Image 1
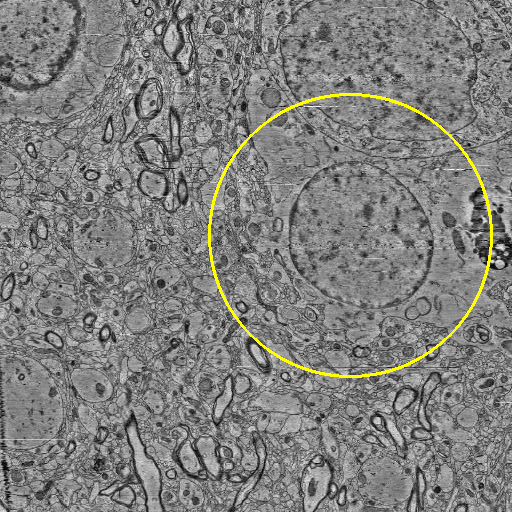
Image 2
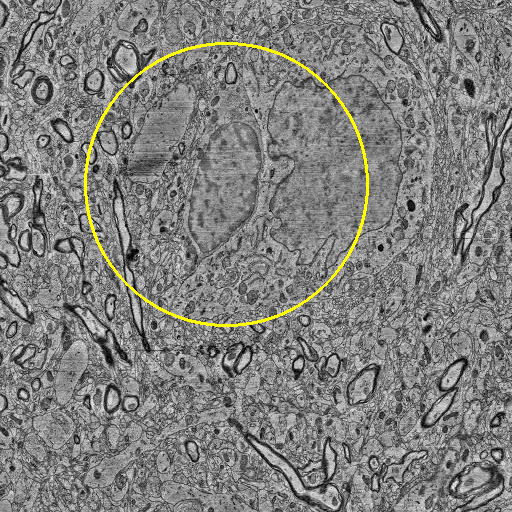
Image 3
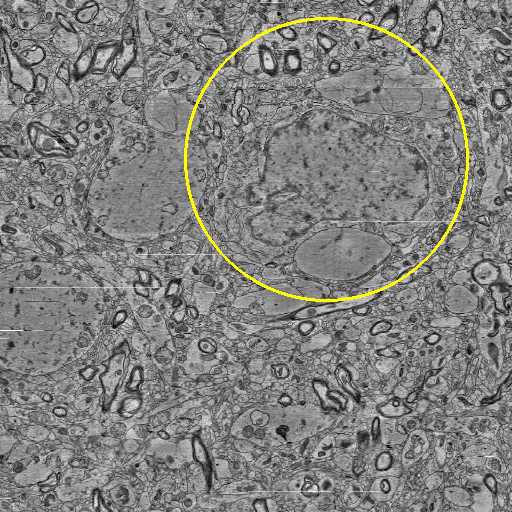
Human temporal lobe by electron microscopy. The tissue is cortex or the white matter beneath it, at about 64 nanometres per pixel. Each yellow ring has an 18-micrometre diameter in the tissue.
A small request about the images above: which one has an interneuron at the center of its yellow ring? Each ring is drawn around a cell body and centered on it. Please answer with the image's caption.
Image 3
